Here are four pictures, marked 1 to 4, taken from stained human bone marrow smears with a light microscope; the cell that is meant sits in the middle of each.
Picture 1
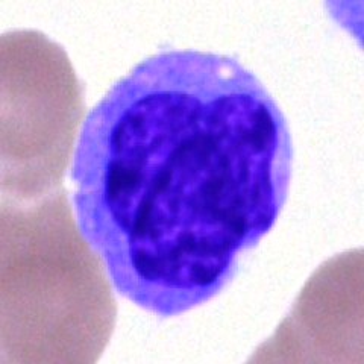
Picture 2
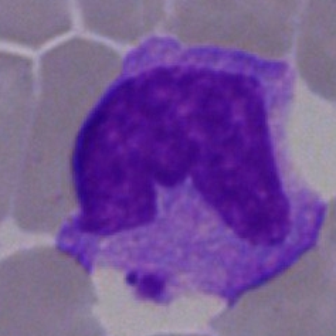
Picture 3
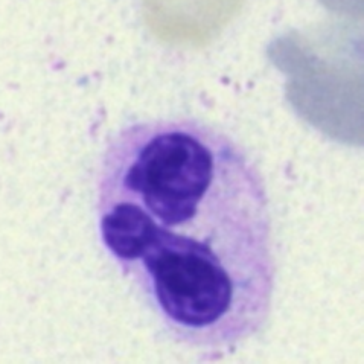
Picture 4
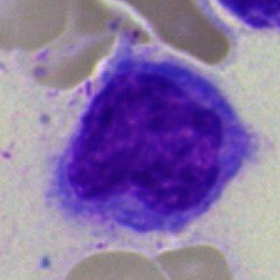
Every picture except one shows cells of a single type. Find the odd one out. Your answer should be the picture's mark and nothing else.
3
